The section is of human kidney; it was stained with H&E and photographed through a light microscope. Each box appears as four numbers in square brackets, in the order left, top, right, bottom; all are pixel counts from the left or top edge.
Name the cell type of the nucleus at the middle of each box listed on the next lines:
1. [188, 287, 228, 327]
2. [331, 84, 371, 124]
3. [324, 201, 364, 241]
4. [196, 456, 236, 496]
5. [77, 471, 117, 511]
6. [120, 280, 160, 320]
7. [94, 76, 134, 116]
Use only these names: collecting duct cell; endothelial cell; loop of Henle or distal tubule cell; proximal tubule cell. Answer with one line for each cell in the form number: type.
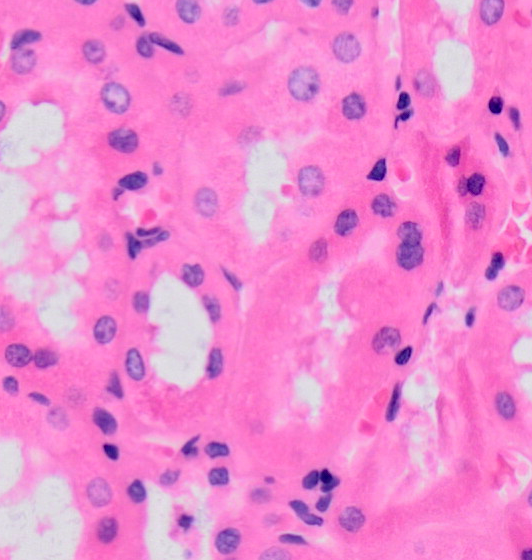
1: loop of Henle or distal tubule cell
2: proximal tubule cell
3: proximal tubule cell
4: loop of Henle or distal tubule cell
5: proximal tubule cell
6: loop of Henle or distal tubule cell
7: proximal tubule cell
